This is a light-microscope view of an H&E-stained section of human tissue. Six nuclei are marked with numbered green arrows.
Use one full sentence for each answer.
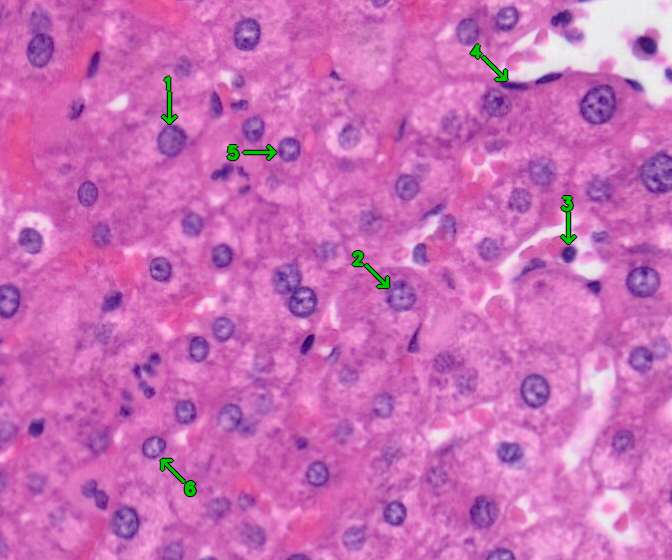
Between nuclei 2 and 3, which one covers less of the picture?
It is nucleus 3; nucleus 2 has about 2.5 times its area.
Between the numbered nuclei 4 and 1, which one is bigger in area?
Nucleus 1 is larger, with an area about 2.5 times that of nucleus 4.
